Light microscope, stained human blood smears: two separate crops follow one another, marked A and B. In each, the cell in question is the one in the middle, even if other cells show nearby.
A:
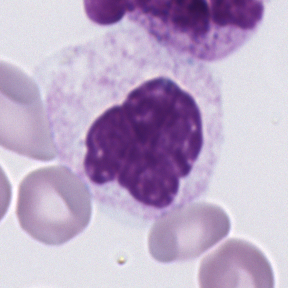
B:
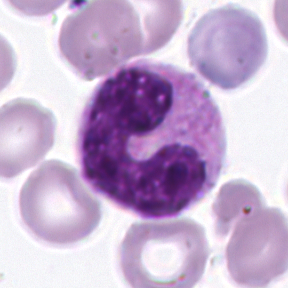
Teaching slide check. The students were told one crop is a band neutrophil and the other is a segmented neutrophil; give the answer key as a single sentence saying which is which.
Displayed in crop A is a segmented neutrophil, while crop B displays a band neutrophil.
